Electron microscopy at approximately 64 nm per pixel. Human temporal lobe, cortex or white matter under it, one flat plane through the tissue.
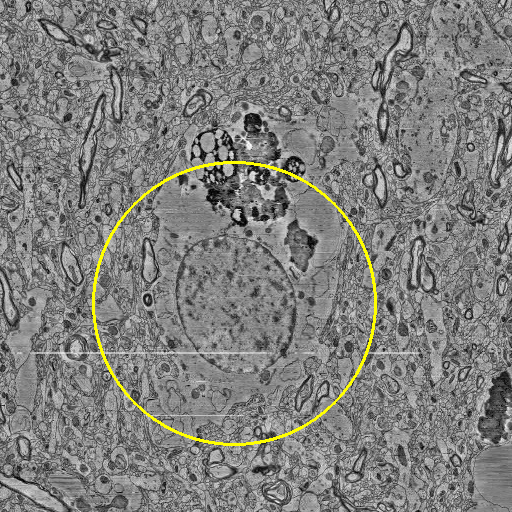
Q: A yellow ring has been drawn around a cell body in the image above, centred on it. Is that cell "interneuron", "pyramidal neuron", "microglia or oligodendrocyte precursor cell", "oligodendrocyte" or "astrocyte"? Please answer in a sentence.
The ring surrounds the cell body of an astrocyte.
